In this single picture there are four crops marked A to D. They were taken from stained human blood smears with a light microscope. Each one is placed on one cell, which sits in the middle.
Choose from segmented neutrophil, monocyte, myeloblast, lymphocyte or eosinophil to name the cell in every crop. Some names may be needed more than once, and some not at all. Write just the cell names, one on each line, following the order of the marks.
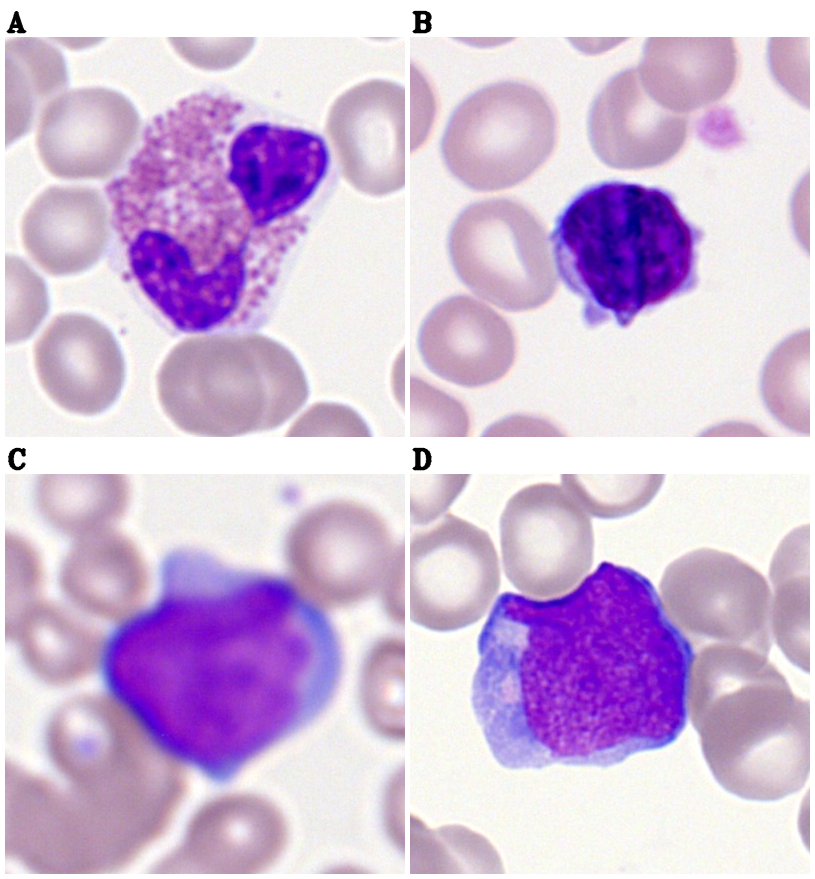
eosinophil
lymphocyte
myeloblast
myeloblast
